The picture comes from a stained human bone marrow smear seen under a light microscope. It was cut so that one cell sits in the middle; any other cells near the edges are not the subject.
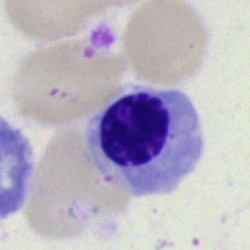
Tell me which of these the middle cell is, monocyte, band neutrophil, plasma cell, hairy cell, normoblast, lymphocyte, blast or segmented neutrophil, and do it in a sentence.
The cell at the heart of this crop is a normoblast.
